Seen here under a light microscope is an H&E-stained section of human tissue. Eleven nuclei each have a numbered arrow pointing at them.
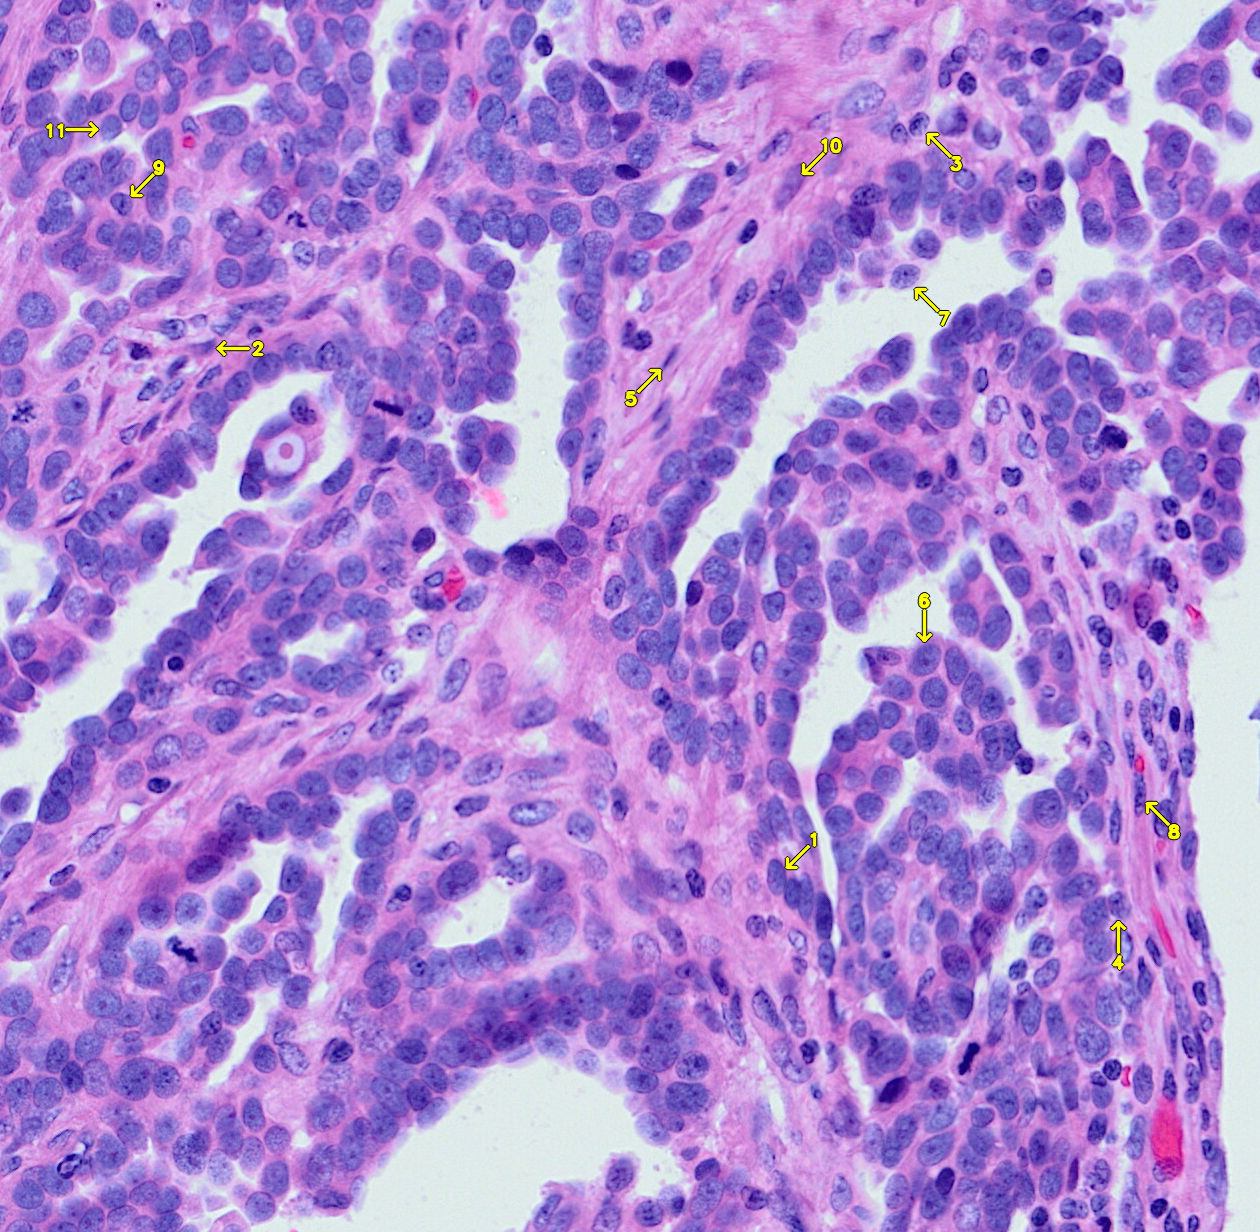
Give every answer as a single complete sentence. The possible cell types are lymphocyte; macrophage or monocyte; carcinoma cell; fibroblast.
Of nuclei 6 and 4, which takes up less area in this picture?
It is nucleus 4; nucleus 6 has about 2 times its area.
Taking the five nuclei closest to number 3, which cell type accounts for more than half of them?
Of the five nuclei nearest to number 3, most belong to fibroblasts.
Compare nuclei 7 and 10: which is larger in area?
Of the two, number 10 is bigger and takes up about 1.5 times the area of number 7.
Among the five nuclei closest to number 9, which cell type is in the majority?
Carcinoma cells make up most of the five nuclei closest to number 9.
